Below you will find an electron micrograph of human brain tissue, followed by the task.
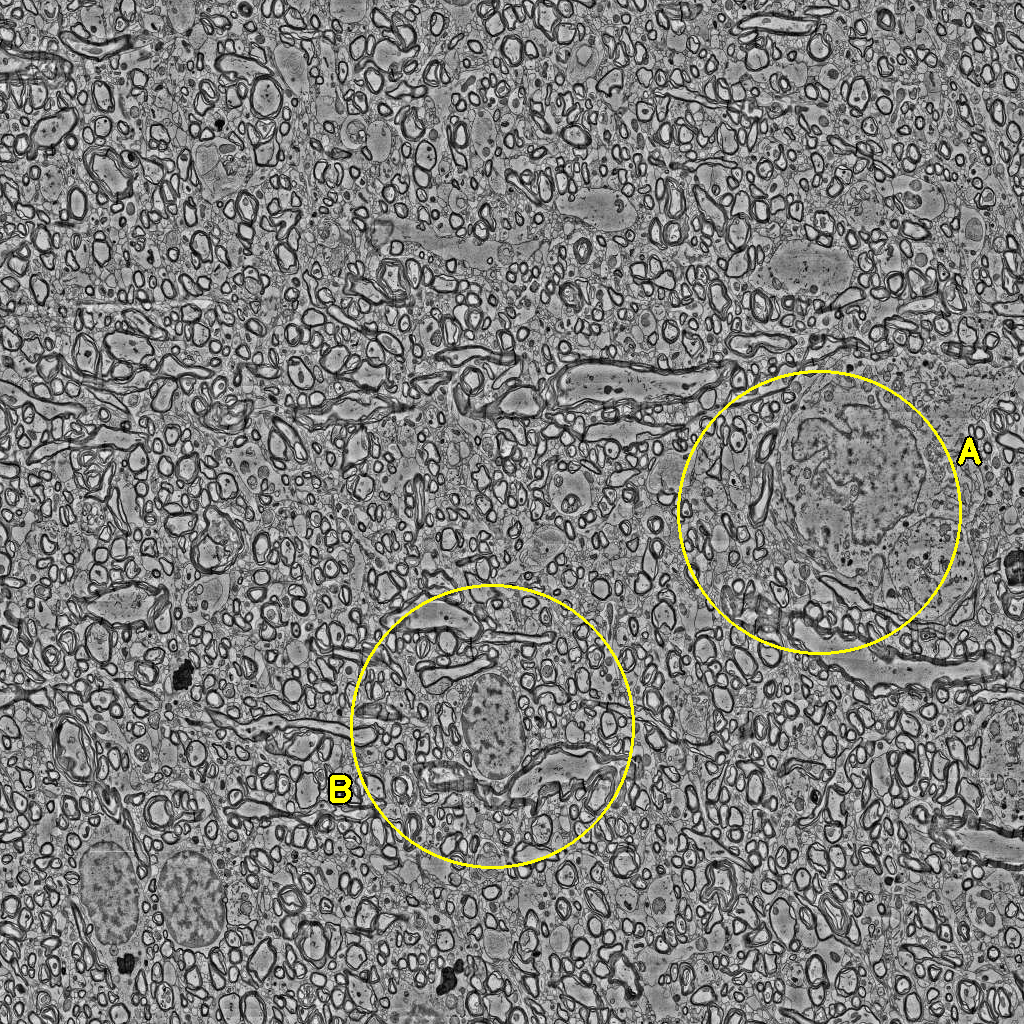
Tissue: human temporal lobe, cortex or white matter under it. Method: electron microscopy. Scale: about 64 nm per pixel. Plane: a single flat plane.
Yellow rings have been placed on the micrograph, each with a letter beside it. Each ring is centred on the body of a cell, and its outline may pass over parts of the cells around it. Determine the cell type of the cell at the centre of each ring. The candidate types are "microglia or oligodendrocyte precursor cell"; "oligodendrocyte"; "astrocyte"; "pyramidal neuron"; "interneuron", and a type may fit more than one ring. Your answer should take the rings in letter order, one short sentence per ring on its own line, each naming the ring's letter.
The centre of ring A falls on an oligodendrocyte.
The centre of ring B falls on a microglial cell or oligodendrocyte precursor cell.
